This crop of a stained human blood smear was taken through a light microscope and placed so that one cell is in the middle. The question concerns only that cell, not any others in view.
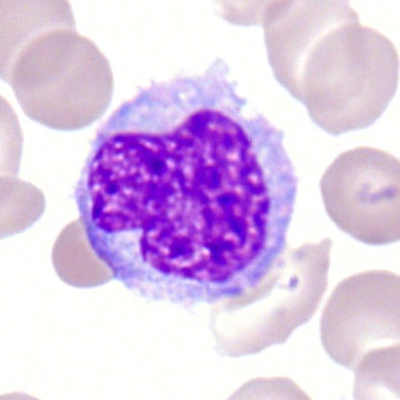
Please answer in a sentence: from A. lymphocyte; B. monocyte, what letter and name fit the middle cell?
That the central cell is a monocyte makes option B correct.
